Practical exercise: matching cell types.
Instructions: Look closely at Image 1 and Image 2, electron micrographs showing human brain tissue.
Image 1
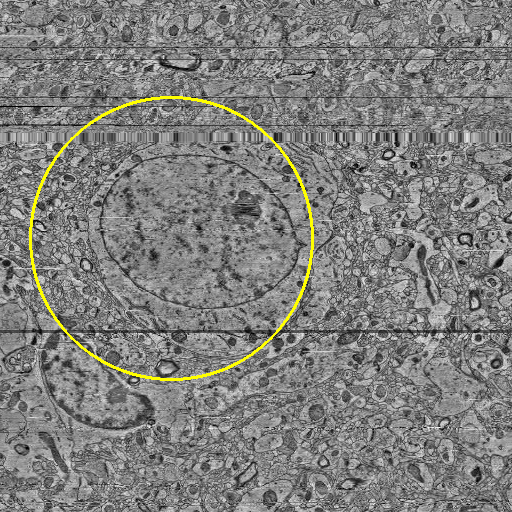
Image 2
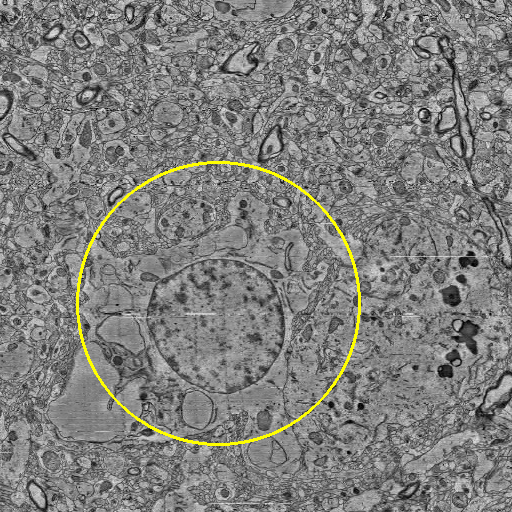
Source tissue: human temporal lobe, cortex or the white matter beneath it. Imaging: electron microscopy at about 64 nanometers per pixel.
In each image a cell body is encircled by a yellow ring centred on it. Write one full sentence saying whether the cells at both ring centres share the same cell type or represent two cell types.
Across Image 1 and Image 2, the cells at the ring centres represent two cell types.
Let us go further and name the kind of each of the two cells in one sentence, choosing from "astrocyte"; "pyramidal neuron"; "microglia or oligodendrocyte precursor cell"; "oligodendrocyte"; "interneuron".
The ring of the first picture is on a pyramidal neuron, the ring of the second on an astrocyte.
